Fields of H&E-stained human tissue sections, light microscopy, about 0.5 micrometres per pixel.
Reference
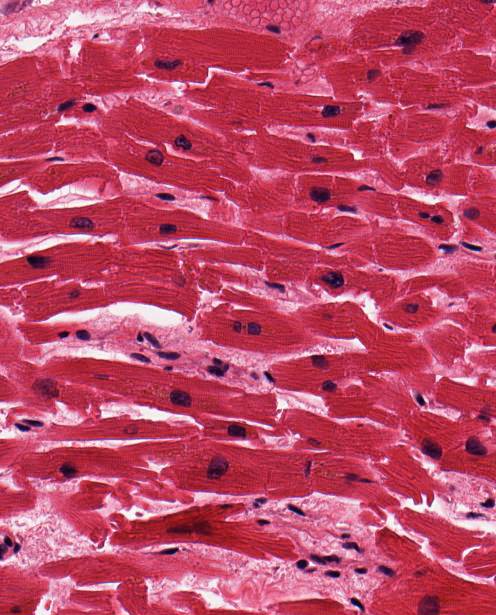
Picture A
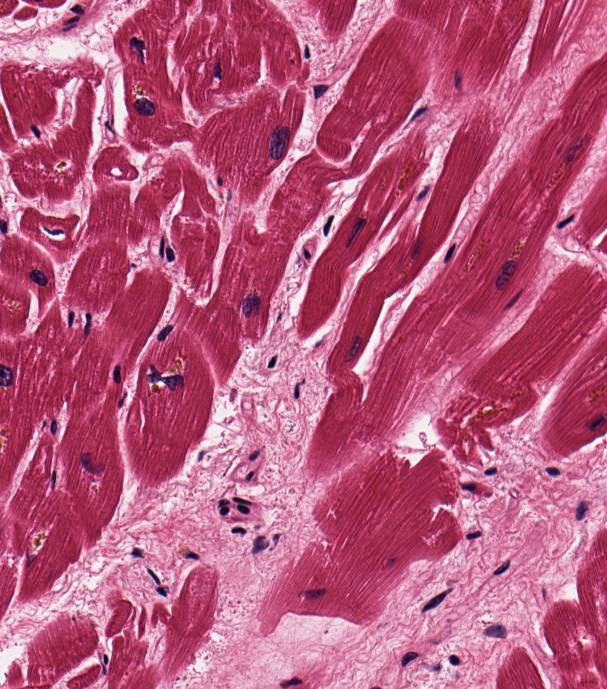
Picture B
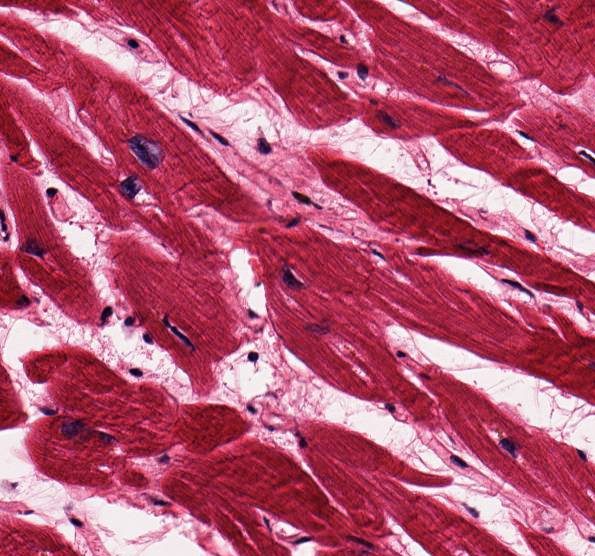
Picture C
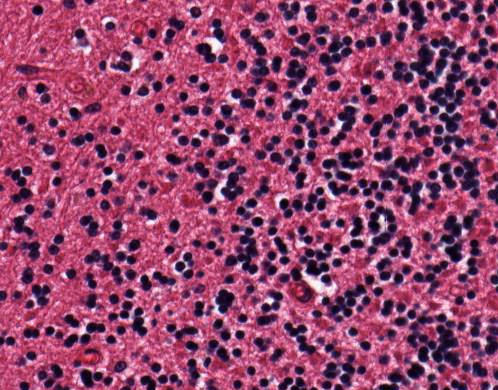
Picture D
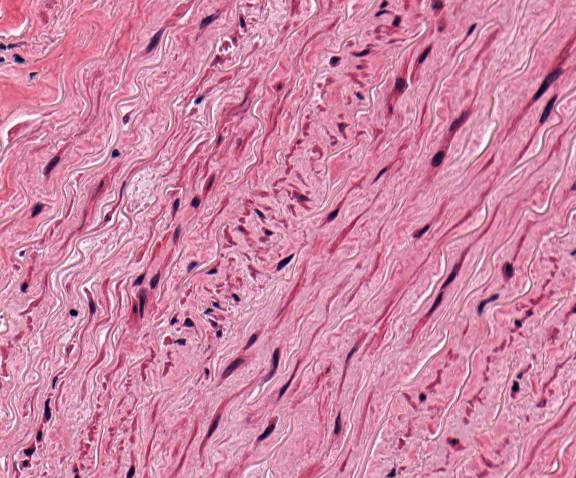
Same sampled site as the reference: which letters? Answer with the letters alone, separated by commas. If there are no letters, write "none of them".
A, B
